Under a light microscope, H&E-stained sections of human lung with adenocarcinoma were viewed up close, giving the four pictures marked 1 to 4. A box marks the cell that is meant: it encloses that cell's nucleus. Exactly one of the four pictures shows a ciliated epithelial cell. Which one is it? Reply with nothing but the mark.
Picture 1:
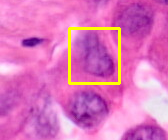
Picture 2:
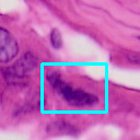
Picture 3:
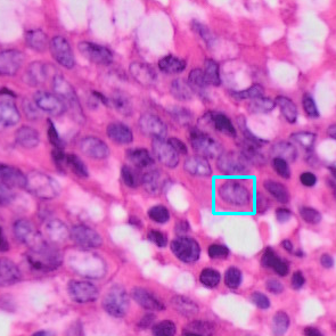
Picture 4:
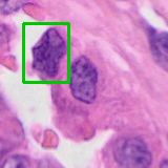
3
